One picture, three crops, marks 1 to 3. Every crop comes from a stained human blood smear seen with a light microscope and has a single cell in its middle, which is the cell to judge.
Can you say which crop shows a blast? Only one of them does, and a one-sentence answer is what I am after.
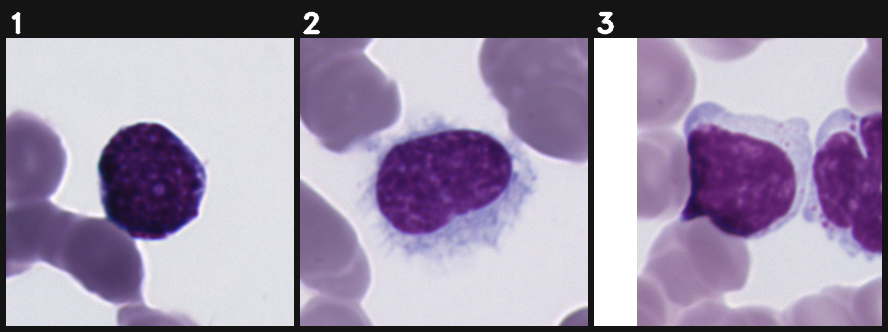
The crop bearing a blast is crop 1.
